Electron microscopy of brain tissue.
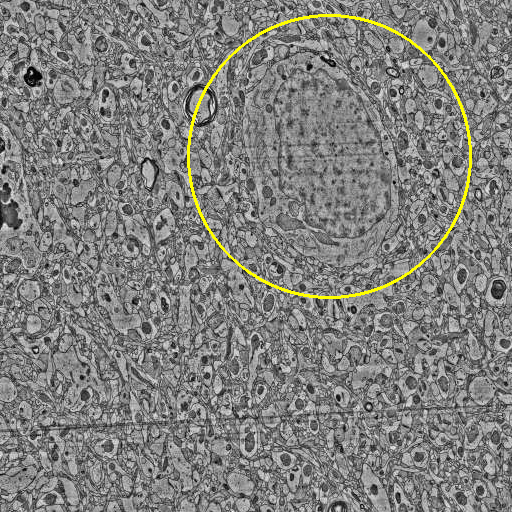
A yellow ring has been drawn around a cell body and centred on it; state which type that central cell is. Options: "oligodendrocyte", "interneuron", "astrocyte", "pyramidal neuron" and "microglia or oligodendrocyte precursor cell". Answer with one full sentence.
The cell at the middle of the yellow ring is an interneuron in this picture.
